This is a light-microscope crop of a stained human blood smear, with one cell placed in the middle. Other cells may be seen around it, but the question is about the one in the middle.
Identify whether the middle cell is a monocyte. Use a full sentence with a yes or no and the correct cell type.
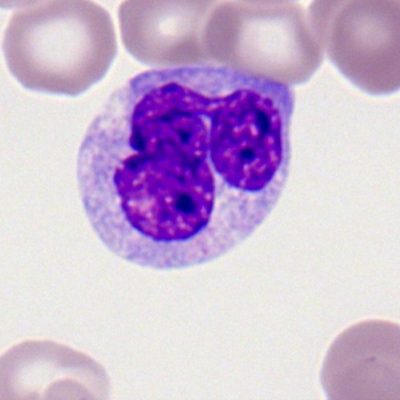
Yes, as regards the cell in the middle, it is a monocyte.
